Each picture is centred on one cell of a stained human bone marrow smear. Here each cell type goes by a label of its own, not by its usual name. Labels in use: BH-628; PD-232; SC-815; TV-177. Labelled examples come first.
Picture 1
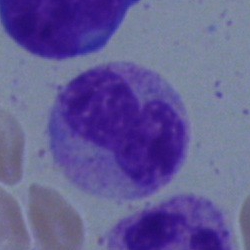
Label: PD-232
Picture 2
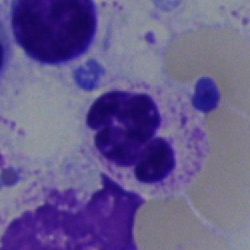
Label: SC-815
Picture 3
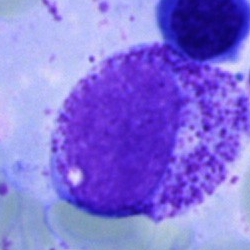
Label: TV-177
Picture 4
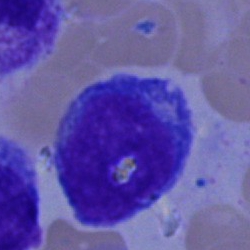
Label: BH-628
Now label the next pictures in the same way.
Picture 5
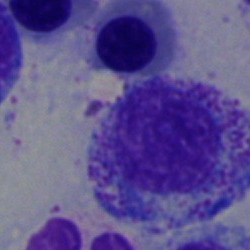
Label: TV-177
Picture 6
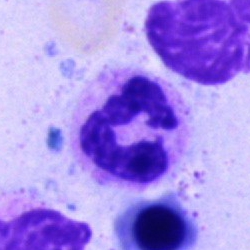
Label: SC-815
